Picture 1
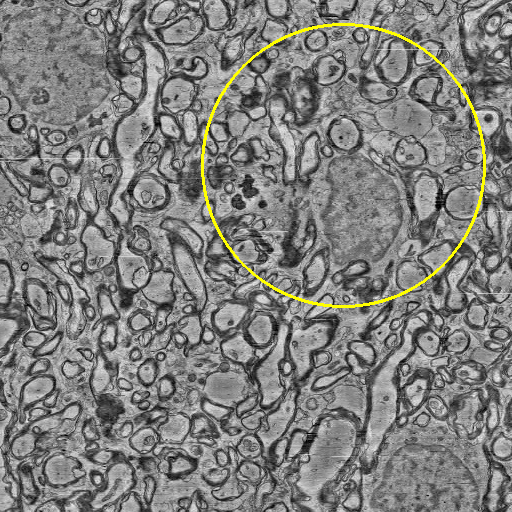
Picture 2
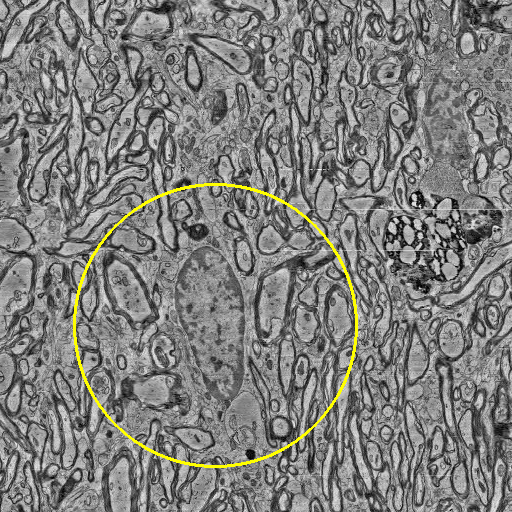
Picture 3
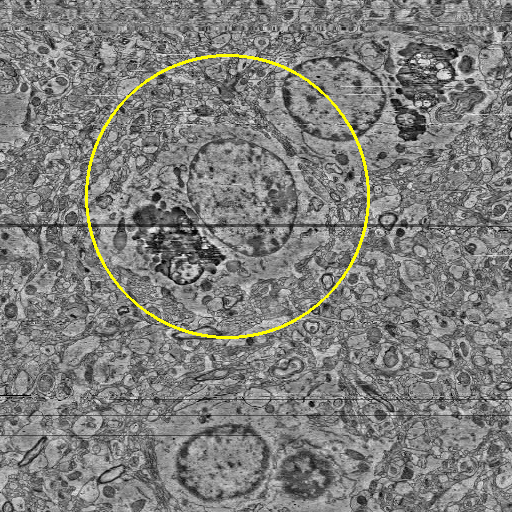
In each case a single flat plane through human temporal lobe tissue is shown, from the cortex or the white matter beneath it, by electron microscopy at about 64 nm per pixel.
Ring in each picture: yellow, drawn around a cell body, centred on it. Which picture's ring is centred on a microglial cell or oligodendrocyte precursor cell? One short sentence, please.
Picture 2 is the one.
